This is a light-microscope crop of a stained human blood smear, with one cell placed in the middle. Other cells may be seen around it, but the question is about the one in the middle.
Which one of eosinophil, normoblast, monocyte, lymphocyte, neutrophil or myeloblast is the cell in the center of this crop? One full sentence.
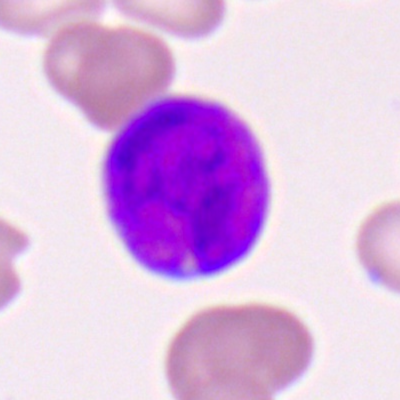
The cell at the central position in this crop is a myeloblast.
